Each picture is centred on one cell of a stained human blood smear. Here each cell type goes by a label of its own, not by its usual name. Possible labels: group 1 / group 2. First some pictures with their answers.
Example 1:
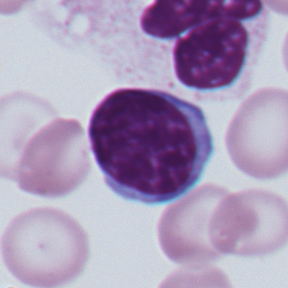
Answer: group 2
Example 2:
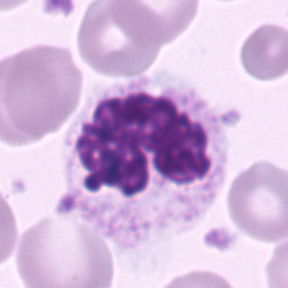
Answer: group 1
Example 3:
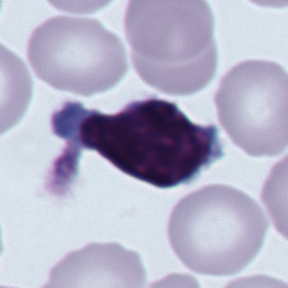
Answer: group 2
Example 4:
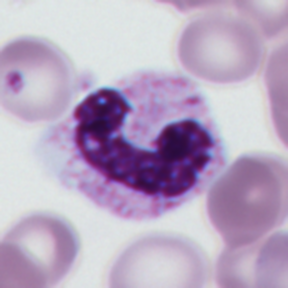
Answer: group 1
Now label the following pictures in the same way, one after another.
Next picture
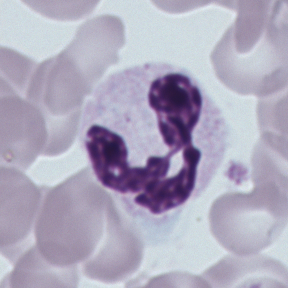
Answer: group 1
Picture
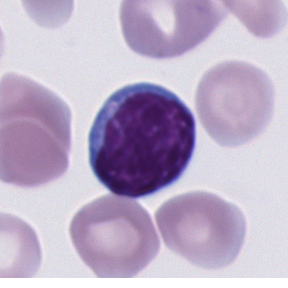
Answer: group 2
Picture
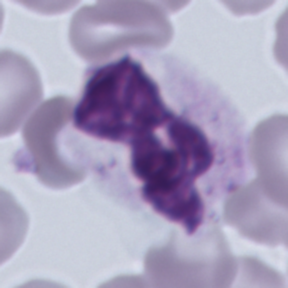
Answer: group 1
